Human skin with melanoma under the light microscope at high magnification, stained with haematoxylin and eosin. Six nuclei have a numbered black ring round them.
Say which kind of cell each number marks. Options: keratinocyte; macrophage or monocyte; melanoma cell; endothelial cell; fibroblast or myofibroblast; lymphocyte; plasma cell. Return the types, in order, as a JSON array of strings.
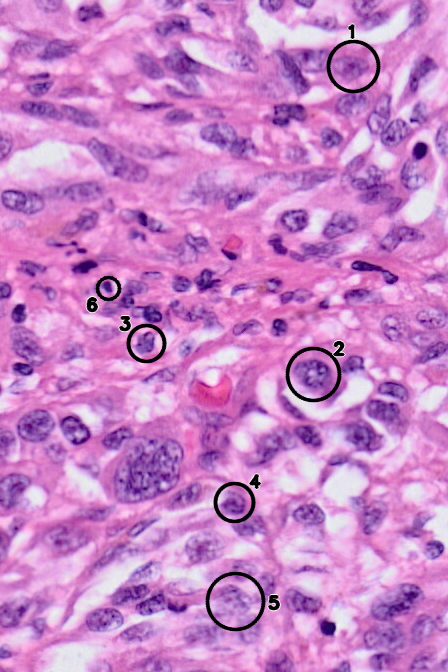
["melanoma cell", "melanoma cell", "lymphocyte", "melanoma cell", "melanoma cell", "lymphocyte"]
